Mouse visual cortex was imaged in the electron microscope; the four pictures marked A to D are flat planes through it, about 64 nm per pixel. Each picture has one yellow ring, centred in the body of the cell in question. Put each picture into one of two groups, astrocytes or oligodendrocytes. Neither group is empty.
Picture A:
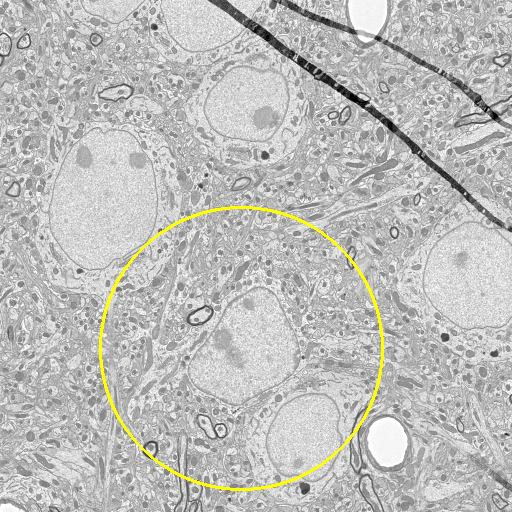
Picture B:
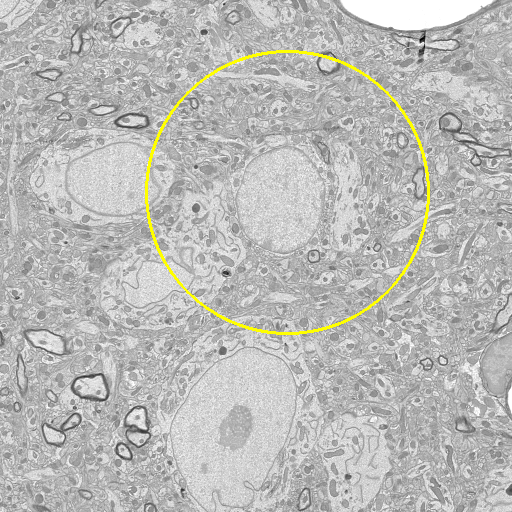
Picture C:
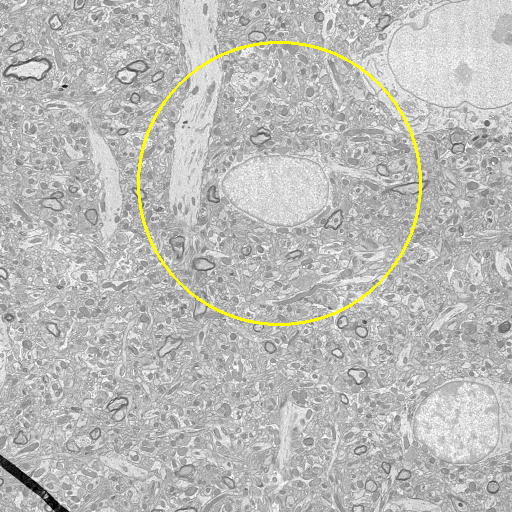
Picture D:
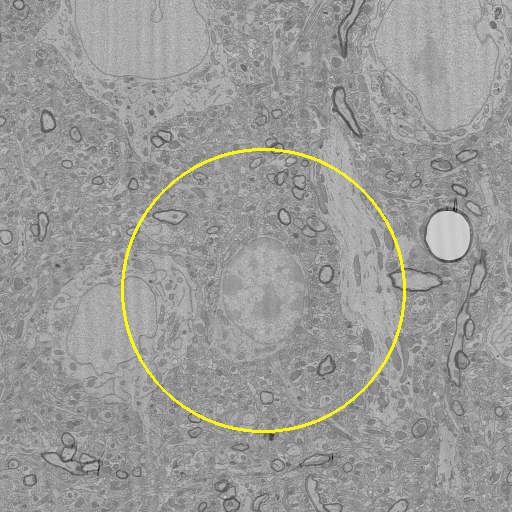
Pictures A, B and C show astrocytes, and picture D shows an oligodendrocyte.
